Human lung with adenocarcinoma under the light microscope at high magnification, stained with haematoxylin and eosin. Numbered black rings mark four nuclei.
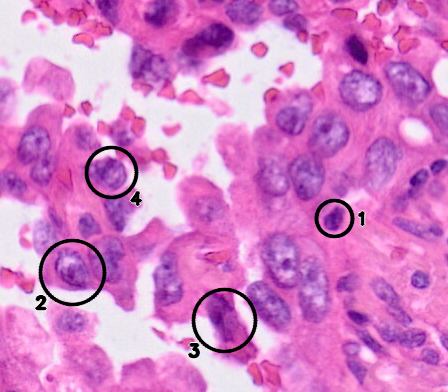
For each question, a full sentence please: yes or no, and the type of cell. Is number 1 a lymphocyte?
Yes, the cell denoted by 1 is a lymphocyte.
